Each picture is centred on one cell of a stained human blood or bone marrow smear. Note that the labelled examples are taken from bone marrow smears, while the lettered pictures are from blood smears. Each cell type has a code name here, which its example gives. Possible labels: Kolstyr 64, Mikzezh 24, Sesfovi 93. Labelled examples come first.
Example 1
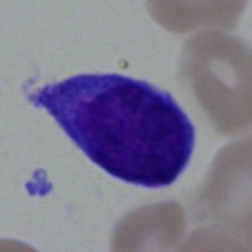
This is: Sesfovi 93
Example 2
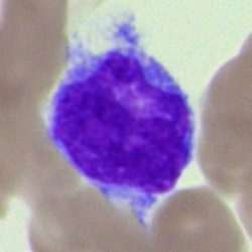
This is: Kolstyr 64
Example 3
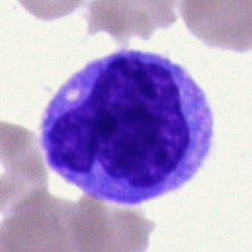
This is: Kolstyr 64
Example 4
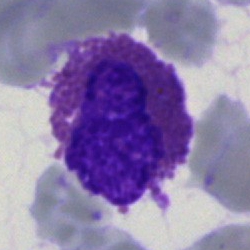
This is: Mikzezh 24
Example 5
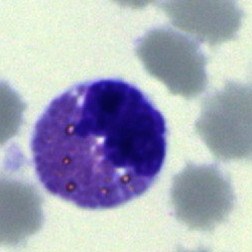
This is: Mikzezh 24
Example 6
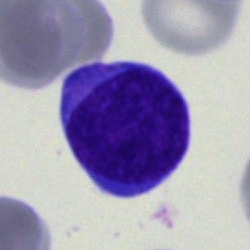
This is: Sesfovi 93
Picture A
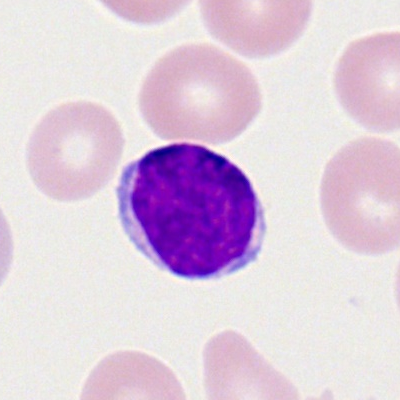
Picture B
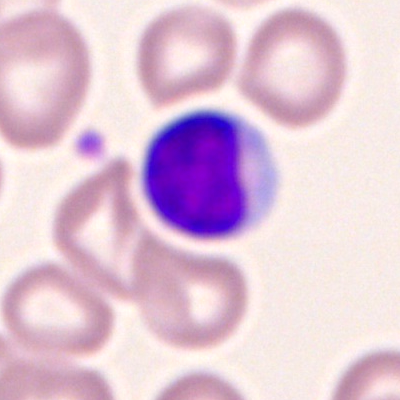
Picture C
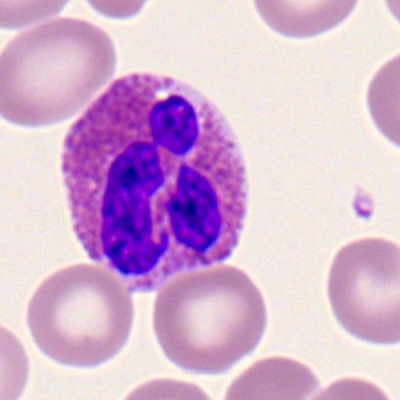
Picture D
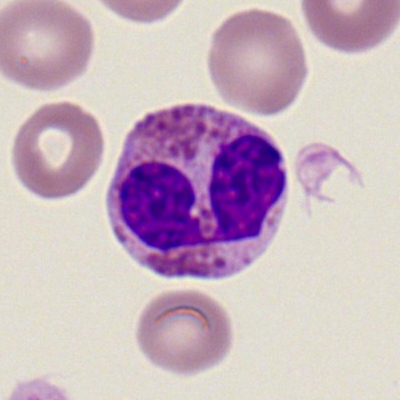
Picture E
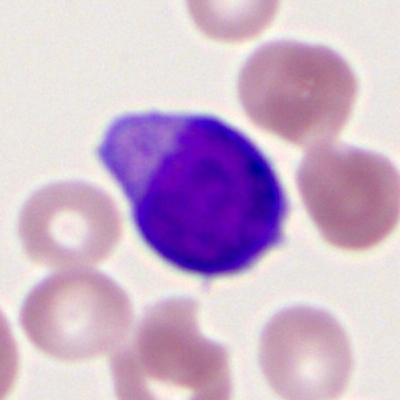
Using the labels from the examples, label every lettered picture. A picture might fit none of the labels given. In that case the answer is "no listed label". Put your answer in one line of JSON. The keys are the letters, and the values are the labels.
{"A": "no listed label", "B": "no listed label", "C": "Mikzezh 24", "D": "Mikzezh 24", "E": "Sesfovi 93"}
